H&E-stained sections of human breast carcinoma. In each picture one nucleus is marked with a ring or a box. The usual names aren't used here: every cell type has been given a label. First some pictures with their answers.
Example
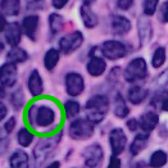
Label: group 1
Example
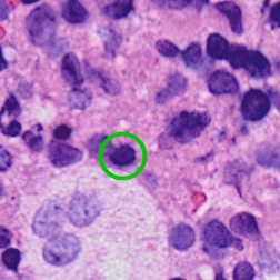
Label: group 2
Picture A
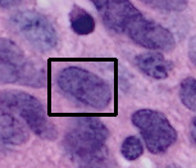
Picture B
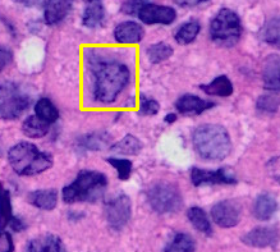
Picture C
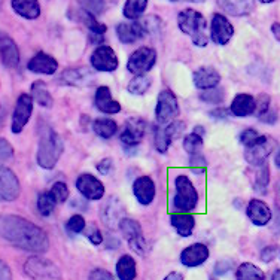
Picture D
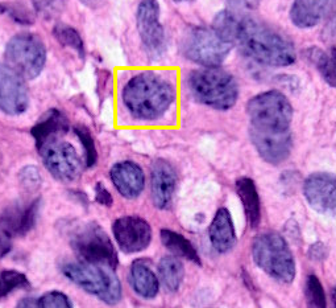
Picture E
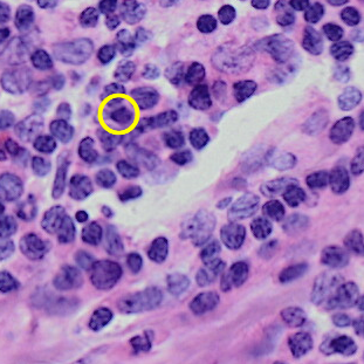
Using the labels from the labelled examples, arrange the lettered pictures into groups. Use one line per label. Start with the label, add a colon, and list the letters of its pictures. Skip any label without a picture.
group 1: C, E
group 2: A, B, D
